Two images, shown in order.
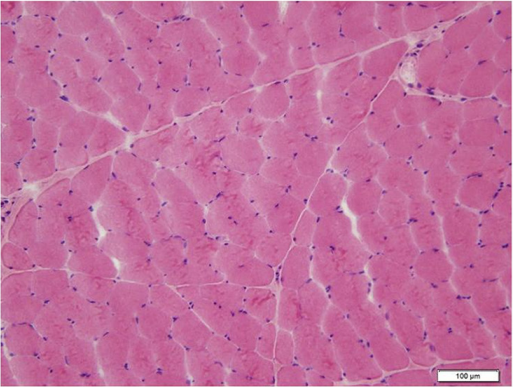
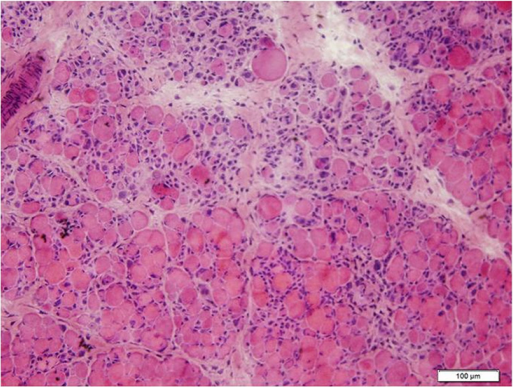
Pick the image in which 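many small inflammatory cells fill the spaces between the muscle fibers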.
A: The second image.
